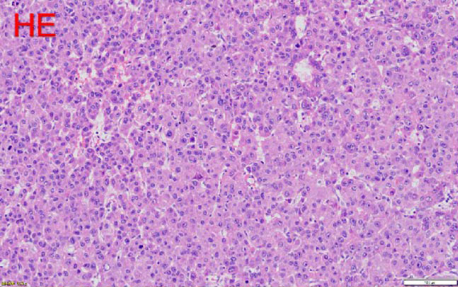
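Solid sheets of tumor cells resembling hepatocellular carcinoma, polygonal and closely packed. Cytoplasm is abundant and pink, with round to oval nuclei sitting centrally.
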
